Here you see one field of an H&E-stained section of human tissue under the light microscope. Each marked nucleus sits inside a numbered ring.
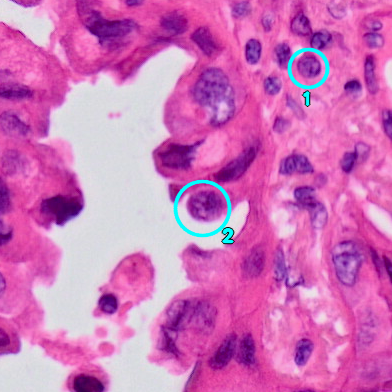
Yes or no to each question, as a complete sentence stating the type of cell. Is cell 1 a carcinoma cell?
No, rather than a carcinoma cell, cell number 1 is a lymphocyte.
